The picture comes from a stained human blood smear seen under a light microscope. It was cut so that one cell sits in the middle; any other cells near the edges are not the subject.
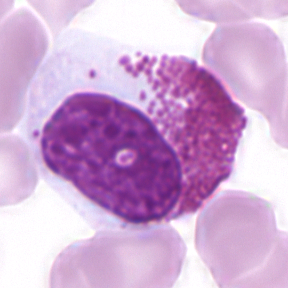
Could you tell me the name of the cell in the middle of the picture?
eosinophil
